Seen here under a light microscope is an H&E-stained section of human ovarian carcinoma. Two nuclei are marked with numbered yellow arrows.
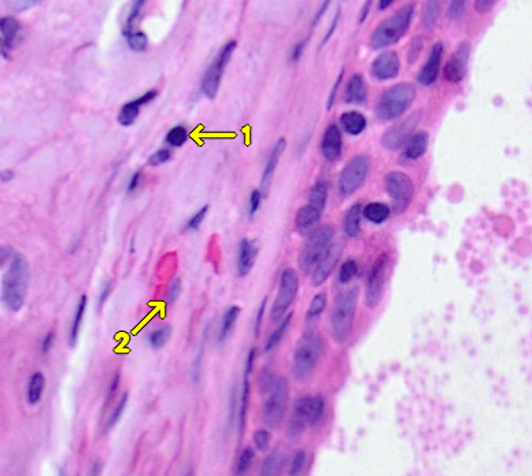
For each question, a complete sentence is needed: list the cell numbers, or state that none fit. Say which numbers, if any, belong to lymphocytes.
Only the cell numbered 1 is a lymphocyte; none of the others is.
